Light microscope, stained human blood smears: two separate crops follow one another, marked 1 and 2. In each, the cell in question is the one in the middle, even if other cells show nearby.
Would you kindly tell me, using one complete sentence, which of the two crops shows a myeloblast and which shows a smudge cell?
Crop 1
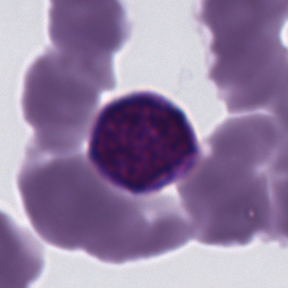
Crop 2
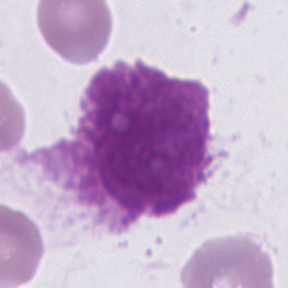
Crop 1 is a myeloblast, whilst crop 2 is a smudge cell.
